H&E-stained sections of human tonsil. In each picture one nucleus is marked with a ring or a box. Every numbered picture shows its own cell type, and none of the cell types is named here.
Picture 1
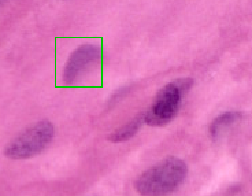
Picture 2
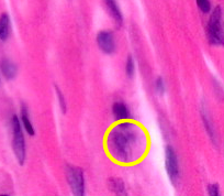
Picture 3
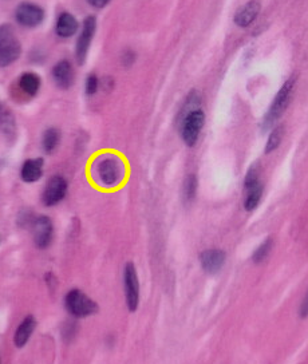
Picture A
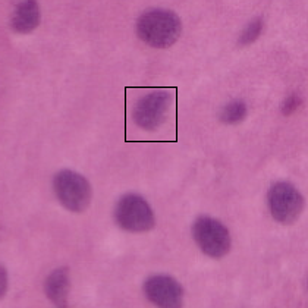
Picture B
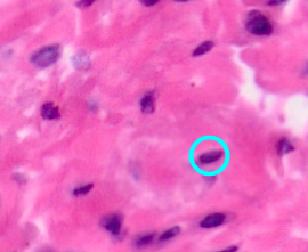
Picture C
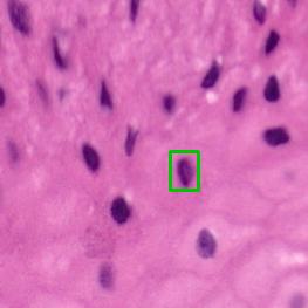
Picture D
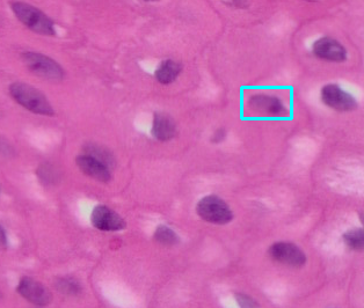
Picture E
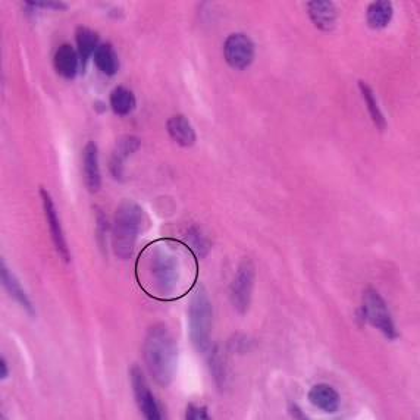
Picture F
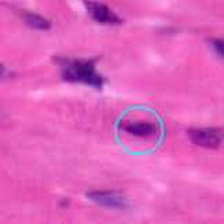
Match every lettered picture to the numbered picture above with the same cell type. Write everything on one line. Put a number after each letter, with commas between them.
A 1, B 3, C 1, D 1, E 2, F 3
